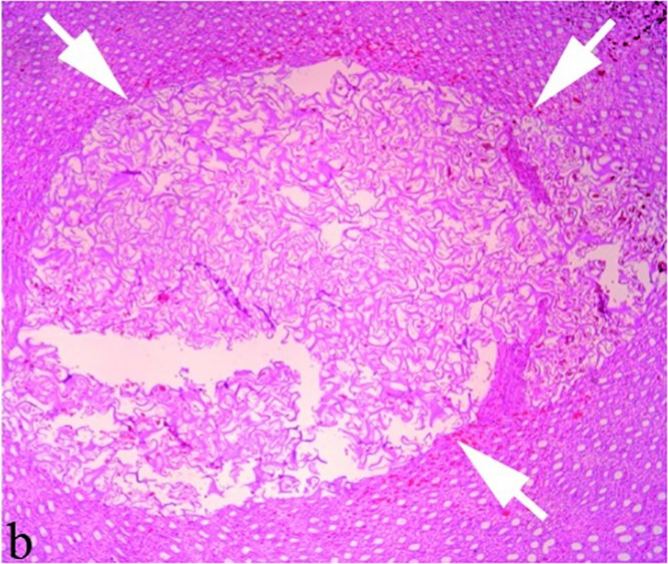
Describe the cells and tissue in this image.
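Renal parenchyma at low magnification, crossed by a large oval tract filled with pale pink, finely lacy and wavy acellular material, with a few empty clefts within it. The filling is sharply bounded against the surrounding tissue. Around it lie densely packed round and oval tubular profiles in pink tissue.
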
